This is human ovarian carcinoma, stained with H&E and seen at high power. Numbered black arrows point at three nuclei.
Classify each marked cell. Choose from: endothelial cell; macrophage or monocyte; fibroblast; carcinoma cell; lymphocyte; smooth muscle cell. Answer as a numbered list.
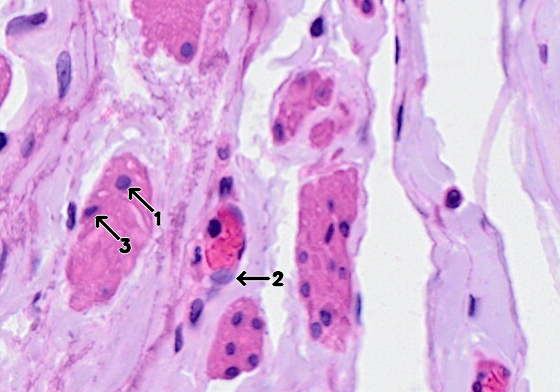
1. smooth muscle cell
2. endothelial cell
3. smooth muscle cell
